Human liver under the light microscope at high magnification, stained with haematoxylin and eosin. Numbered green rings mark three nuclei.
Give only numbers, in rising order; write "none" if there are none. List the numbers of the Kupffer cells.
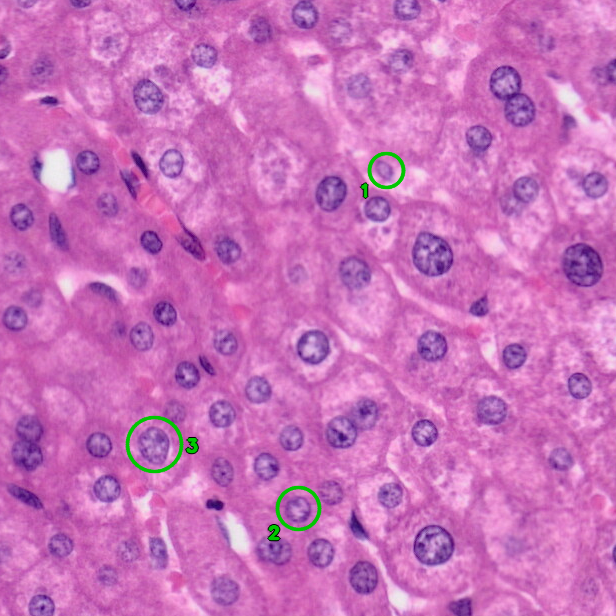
1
